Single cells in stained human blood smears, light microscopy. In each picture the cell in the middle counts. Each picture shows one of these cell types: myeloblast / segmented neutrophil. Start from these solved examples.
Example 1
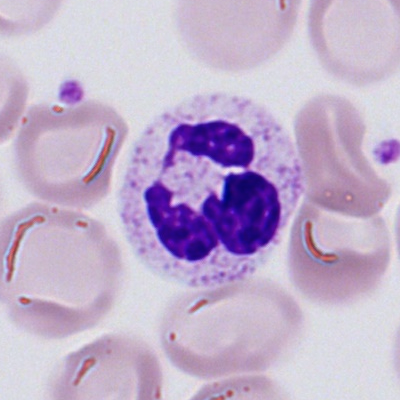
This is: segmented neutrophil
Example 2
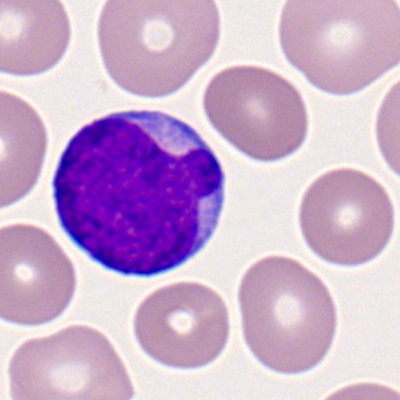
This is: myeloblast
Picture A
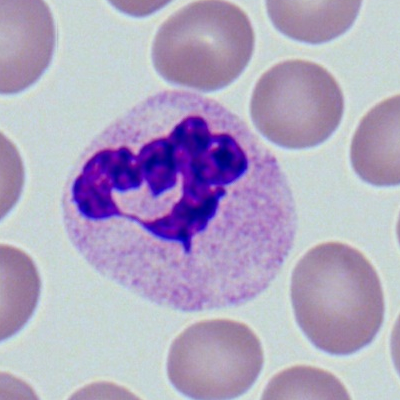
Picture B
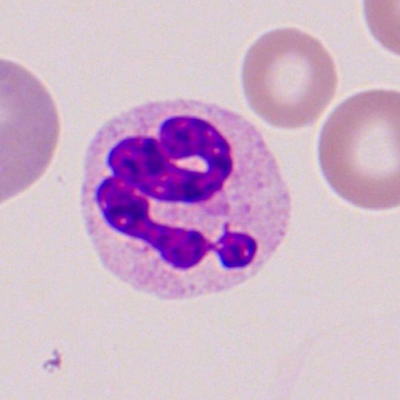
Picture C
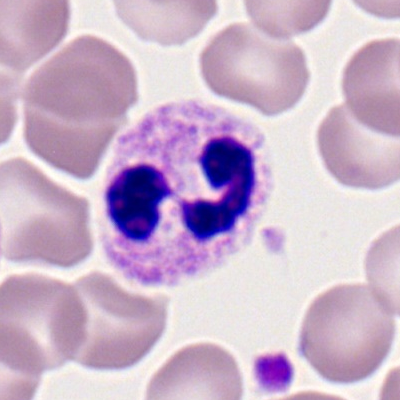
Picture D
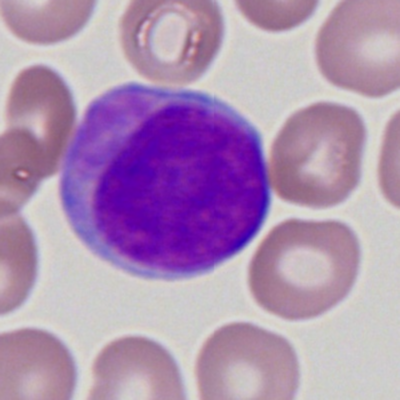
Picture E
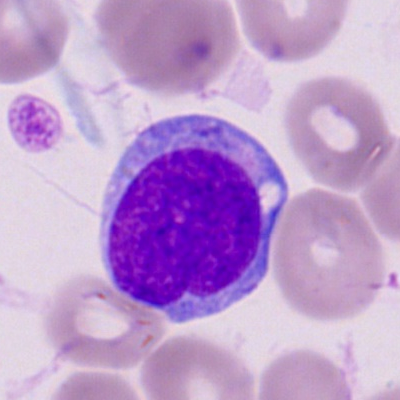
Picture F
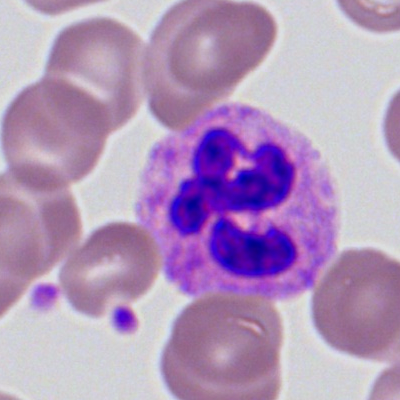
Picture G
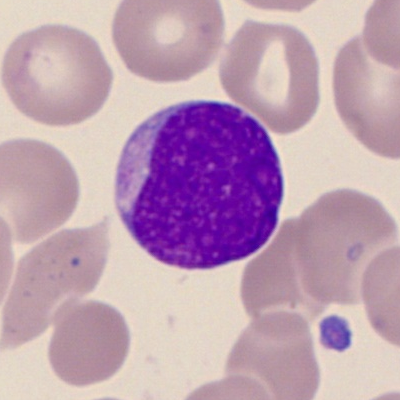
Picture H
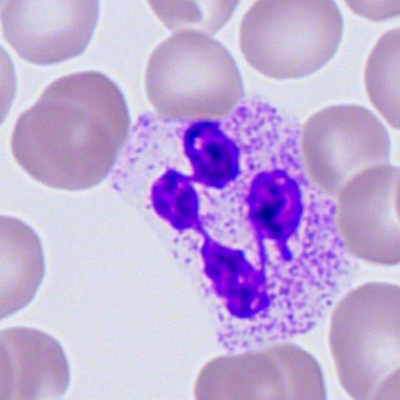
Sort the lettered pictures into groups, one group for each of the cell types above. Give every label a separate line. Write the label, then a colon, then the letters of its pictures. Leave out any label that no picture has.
myeloblast: D, E, G
segmented neutrophil: A, B, C, F, H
